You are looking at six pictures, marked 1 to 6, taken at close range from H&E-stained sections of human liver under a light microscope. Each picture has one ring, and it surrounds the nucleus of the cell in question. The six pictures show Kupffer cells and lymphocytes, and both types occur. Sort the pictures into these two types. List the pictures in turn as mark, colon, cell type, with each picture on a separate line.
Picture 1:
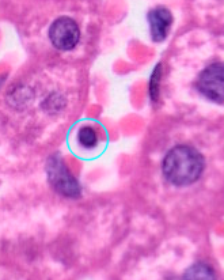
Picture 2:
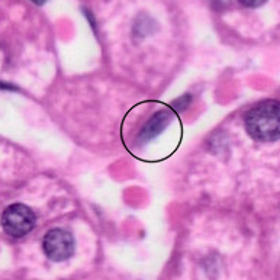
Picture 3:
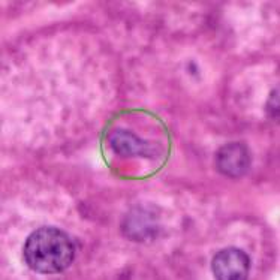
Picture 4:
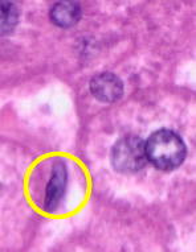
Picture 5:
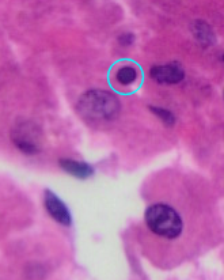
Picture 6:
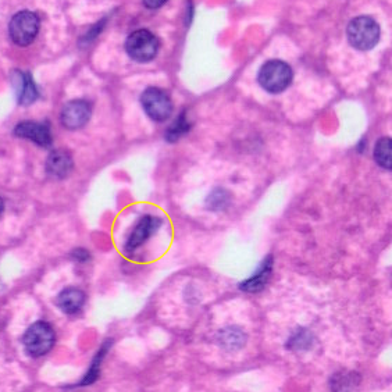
1: lymphocyte
2: Kupffer cell
3: Kupffer cell
4: Kupffer cell
5: lymphocyte
6: Kupffer cell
